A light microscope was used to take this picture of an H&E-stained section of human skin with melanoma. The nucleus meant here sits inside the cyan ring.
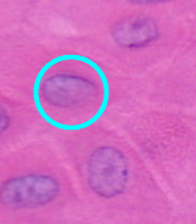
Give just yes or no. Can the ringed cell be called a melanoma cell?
no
